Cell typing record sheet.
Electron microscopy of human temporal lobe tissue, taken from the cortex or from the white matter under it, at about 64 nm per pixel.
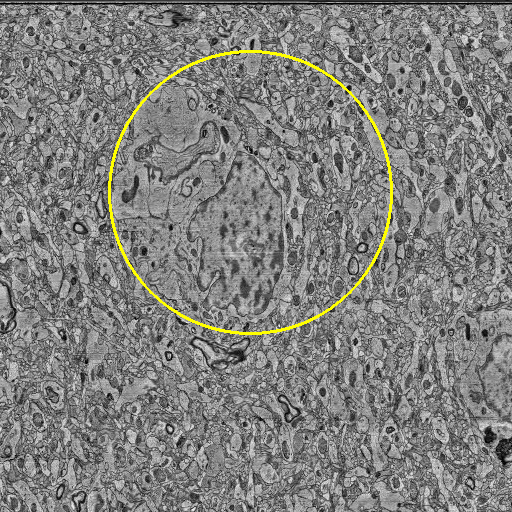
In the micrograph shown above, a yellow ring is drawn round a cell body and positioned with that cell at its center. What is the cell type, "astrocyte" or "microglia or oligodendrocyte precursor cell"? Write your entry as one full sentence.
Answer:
The cell body at the center of the ring belongs to a microglial cell or oligodendrocyte precursor cell.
